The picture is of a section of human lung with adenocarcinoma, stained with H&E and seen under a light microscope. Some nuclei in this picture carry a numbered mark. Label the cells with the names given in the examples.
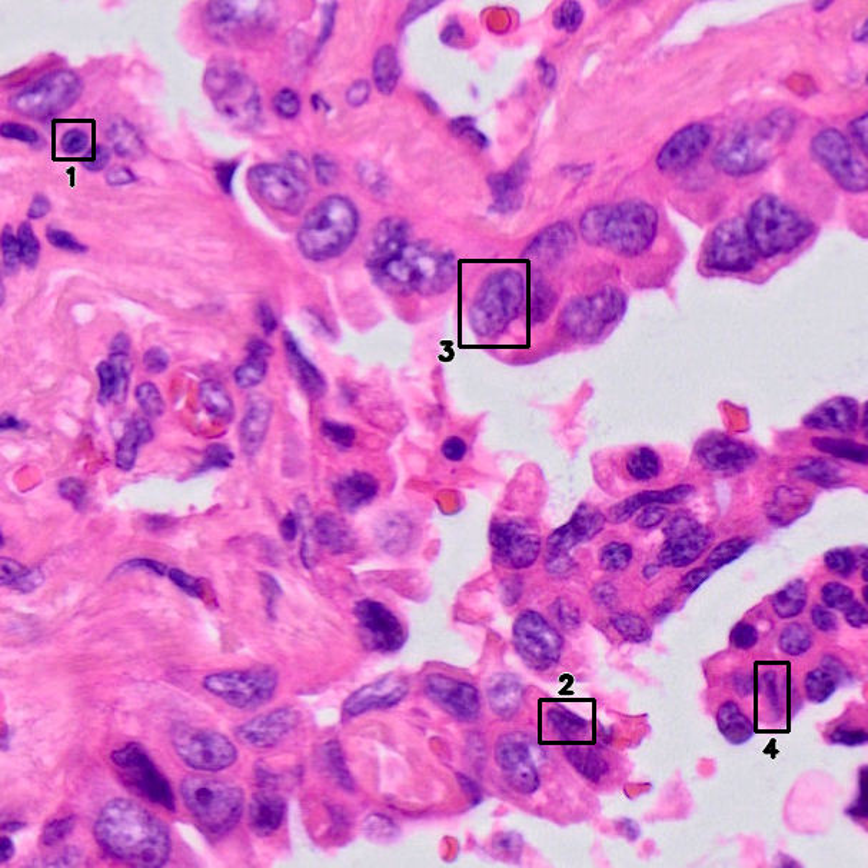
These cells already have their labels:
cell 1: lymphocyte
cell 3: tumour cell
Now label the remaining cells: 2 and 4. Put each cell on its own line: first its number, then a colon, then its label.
2: tumour cell
4: tumour cell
